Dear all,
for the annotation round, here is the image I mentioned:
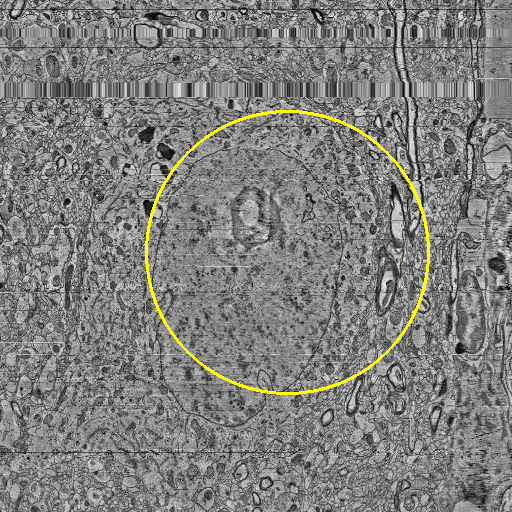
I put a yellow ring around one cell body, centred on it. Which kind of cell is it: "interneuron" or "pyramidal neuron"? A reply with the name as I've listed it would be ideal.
pyramidal neuron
